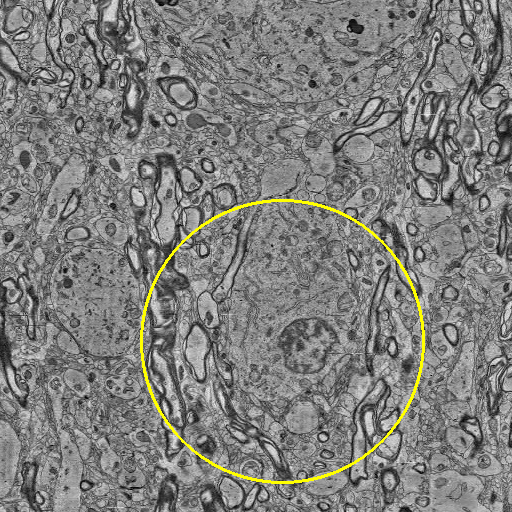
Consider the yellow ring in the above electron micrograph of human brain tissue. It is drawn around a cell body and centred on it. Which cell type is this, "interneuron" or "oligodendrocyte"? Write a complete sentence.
The cell in question is an interneuron.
